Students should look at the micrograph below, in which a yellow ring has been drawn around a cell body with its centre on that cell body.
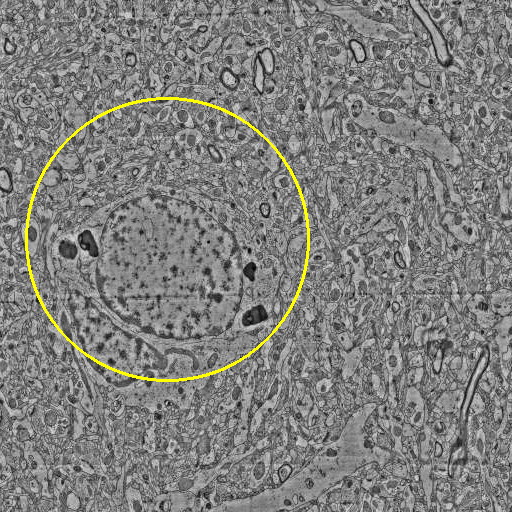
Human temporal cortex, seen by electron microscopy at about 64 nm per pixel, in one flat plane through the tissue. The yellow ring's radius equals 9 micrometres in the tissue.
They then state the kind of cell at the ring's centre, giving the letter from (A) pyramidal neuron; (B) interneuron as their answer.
B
